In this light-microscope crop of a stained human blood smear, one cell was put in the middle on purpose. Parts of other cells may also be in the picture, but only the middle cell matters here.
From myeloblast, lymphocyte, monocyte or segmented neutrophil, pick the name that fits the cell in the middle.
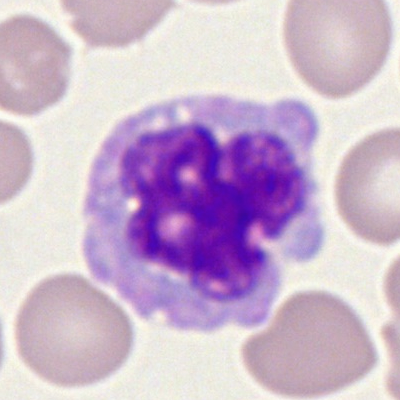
monocyte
